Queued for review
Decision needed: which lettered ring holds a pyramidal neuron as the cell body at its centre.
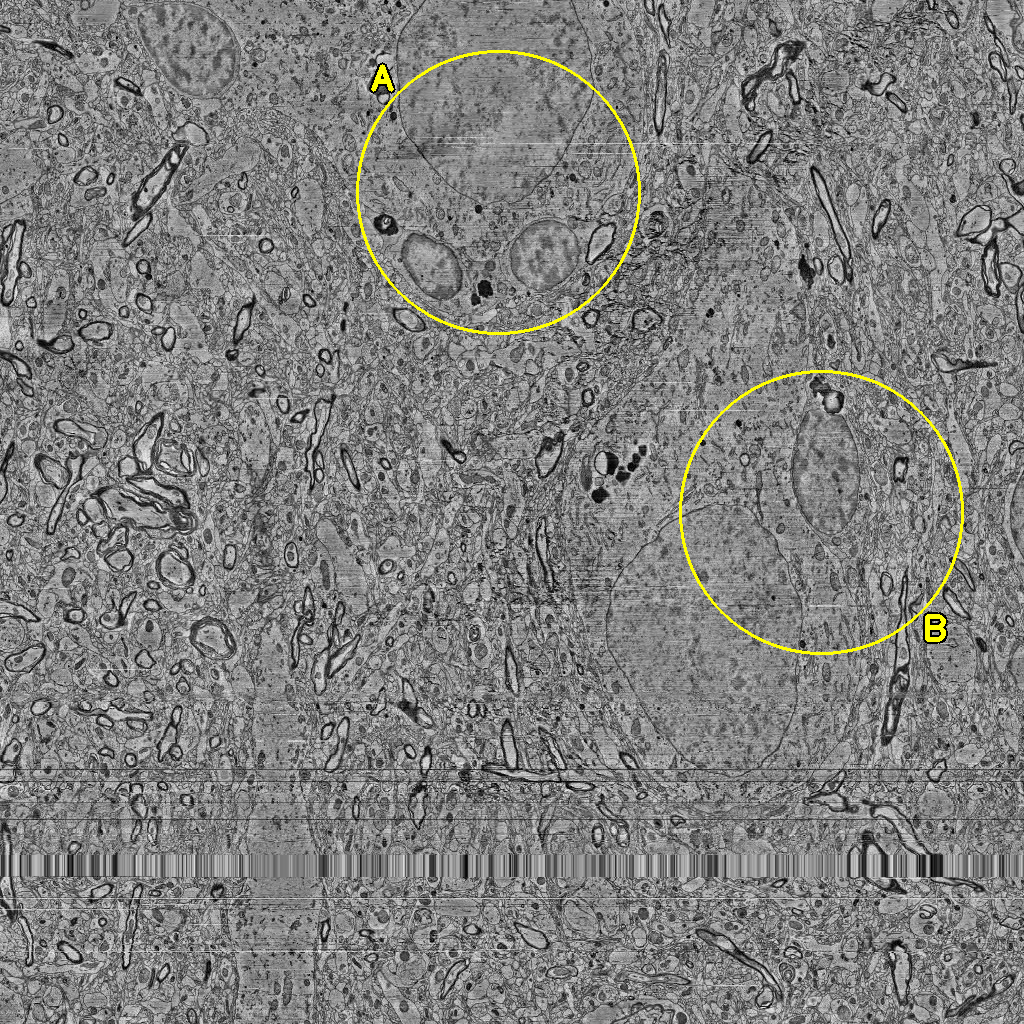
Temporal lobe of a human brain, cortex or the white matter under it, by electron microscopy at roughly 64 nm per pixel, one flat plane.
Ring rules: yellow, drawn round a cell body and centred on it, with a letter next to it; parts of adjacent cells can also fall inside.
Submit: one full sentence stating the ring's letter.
The cell asked for is the one at the centre of ring A in the picture.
